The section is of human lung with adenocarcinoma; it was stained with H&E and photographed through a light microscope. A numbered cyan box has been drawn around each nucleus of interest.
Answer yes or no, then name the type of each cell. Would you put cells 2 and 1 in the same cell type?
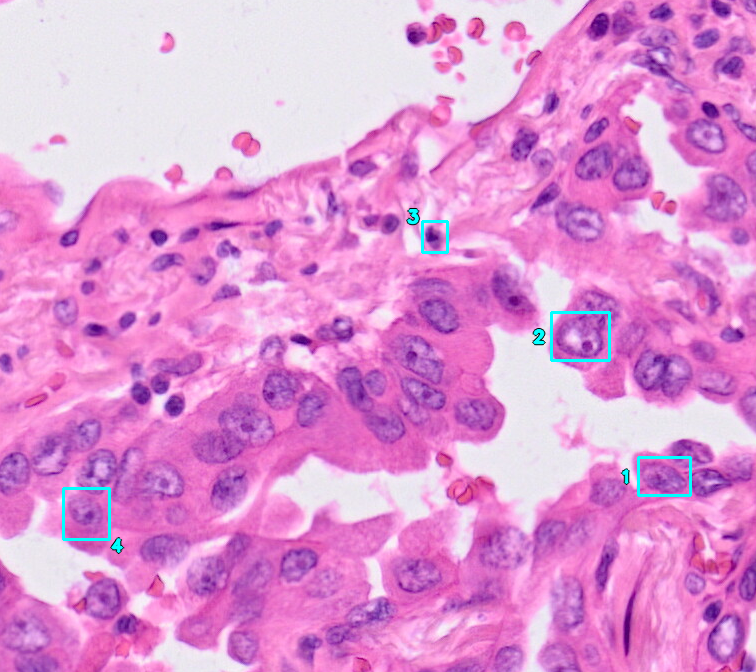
Yes, cells 2 and 1 are both classed as carcinoma cells.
